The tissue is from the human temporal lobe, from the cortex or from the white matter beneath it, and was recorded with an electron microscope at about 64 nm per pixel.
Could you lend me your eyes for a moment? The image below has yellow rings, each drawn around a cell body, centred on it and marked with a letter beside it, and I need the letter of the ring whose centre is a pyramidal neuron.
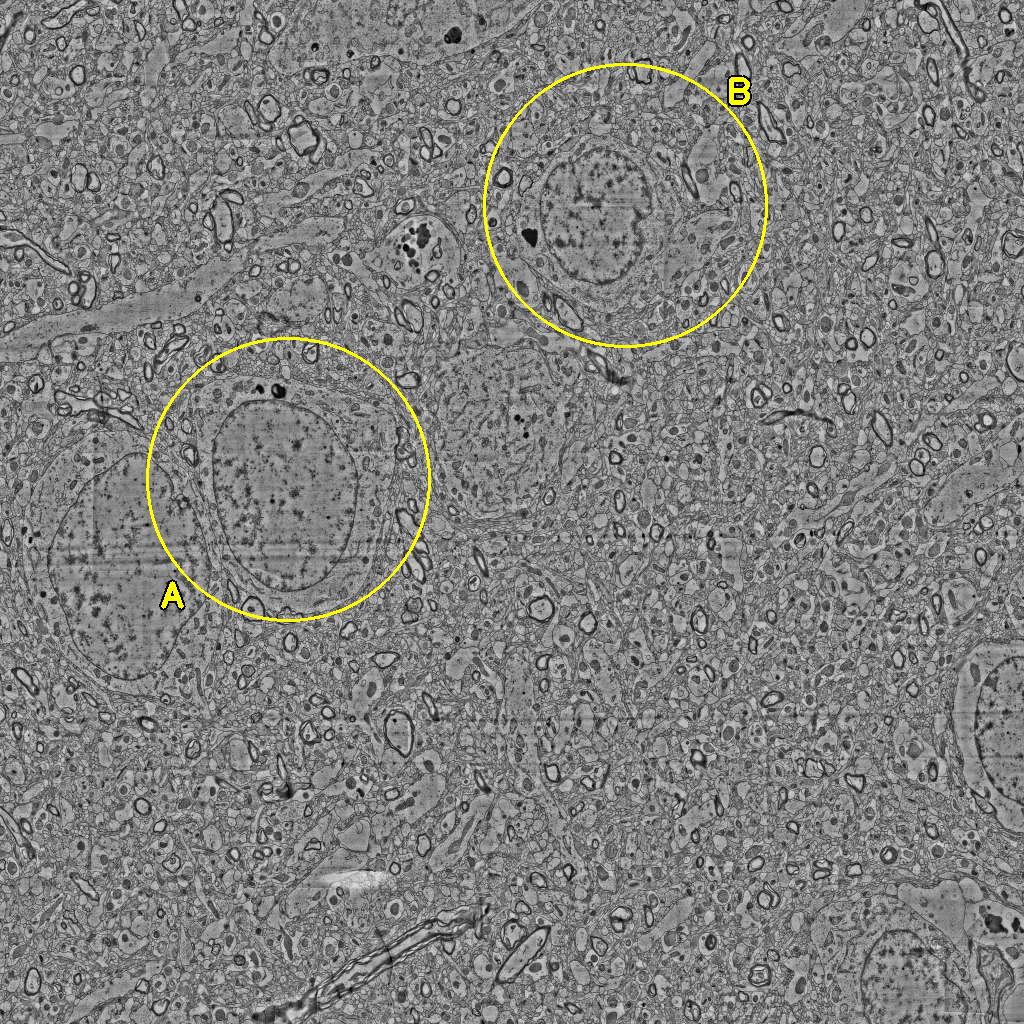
A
